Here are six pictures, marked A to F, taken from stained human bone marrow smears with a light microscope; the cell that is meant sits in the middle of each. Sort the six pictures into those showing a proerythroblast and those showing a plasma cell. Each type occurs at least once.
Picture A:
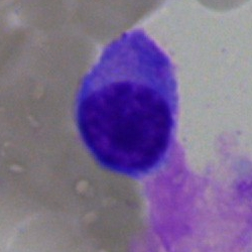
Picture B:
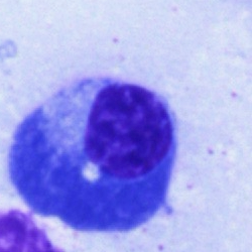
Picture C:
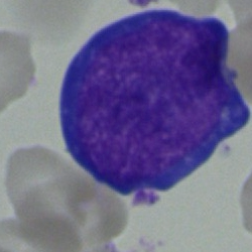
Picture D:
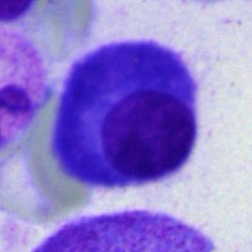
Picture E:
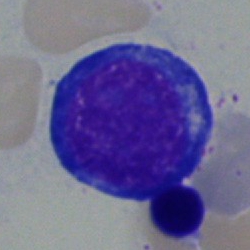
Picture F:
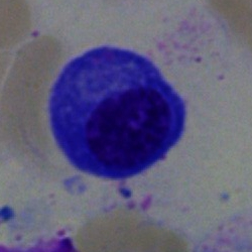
A: plasma cell
B: plasma cell
C: proerythroblast
D: plasma cell
E: proerythroblast
F: plasma cell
